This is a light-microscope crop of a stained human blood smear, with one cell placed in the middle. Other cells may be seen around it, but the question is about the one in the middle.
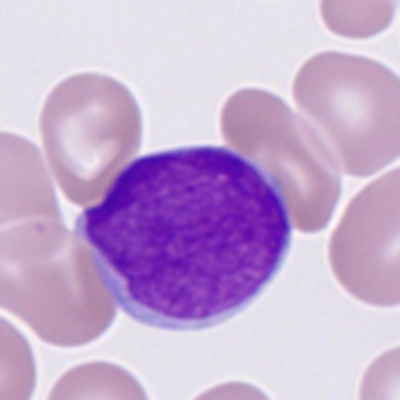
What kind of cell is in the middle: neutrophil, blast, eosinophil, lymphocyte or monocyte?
blast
